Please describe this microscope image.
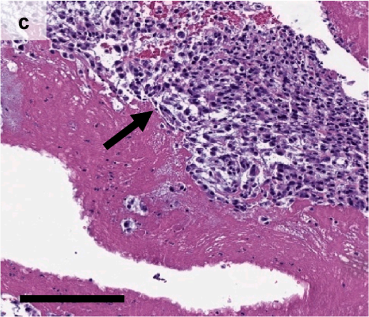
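The tumor cells are packed tightly together, with crowded dark purple nuclei and little pale pink cytoplasm between them. Beside the cellular area lies a broad band of smooth, pink, largely cell-free material with only scattered cells in it, and open white spaces where the section has no tissue. A few red blood cells are seen at the edge of the cellular sheet.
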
